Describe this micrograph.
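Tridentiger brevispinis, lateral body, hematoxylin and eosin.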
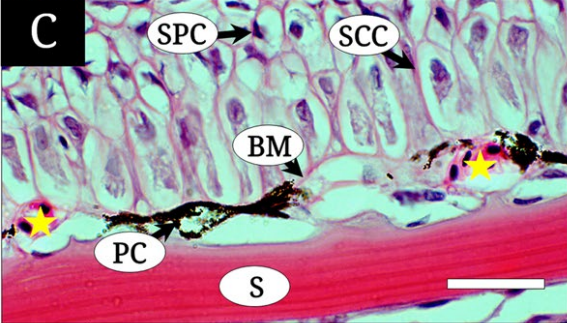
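This is fish epidermis built of stratified columnar cells resting on a basement membrane above a scale. The tall columnar cells have pale, clear cytoplasm, distinct boundaries and oval purple nuclei, and are stacked in tiers. Along the base of the epithelium runs a thin membrane bordered by black-brown granular pigment cells. Small blood capillaries holding red-stained cells sit at the epithelial base. Beneath lies a thick, homogeneous pink scale with fine parallel lamellae.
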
